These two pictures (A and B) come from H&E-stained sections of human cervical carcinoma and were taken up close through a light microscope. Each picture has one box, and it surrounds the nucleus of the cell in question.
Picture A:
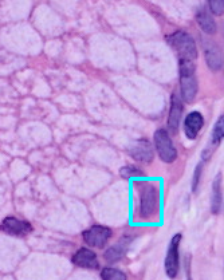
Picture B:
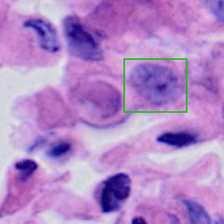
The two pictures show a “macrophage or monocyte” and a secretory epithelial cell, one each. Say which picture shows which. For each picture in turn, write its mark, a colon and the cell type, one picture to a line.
A: secretory epithelial cell
B: macrophage or monocyte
